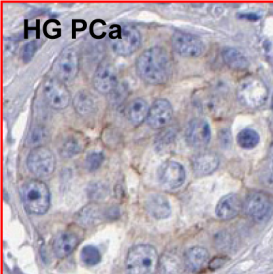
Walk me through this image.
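The tumour cells are crowded together in a solid cluster rather than forming a gland with a clear lumen. Their nuclei are large, round and pale blue, vary in size, and several show distinct nucleoli. The cytoplasm is fairly abundant and pale, with only a faint, diffuse brownish tint and occasional thin brown lines between cells, with no strong rim of stain. A thin band of stroma with flattened nuclei surrounds the nest.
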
